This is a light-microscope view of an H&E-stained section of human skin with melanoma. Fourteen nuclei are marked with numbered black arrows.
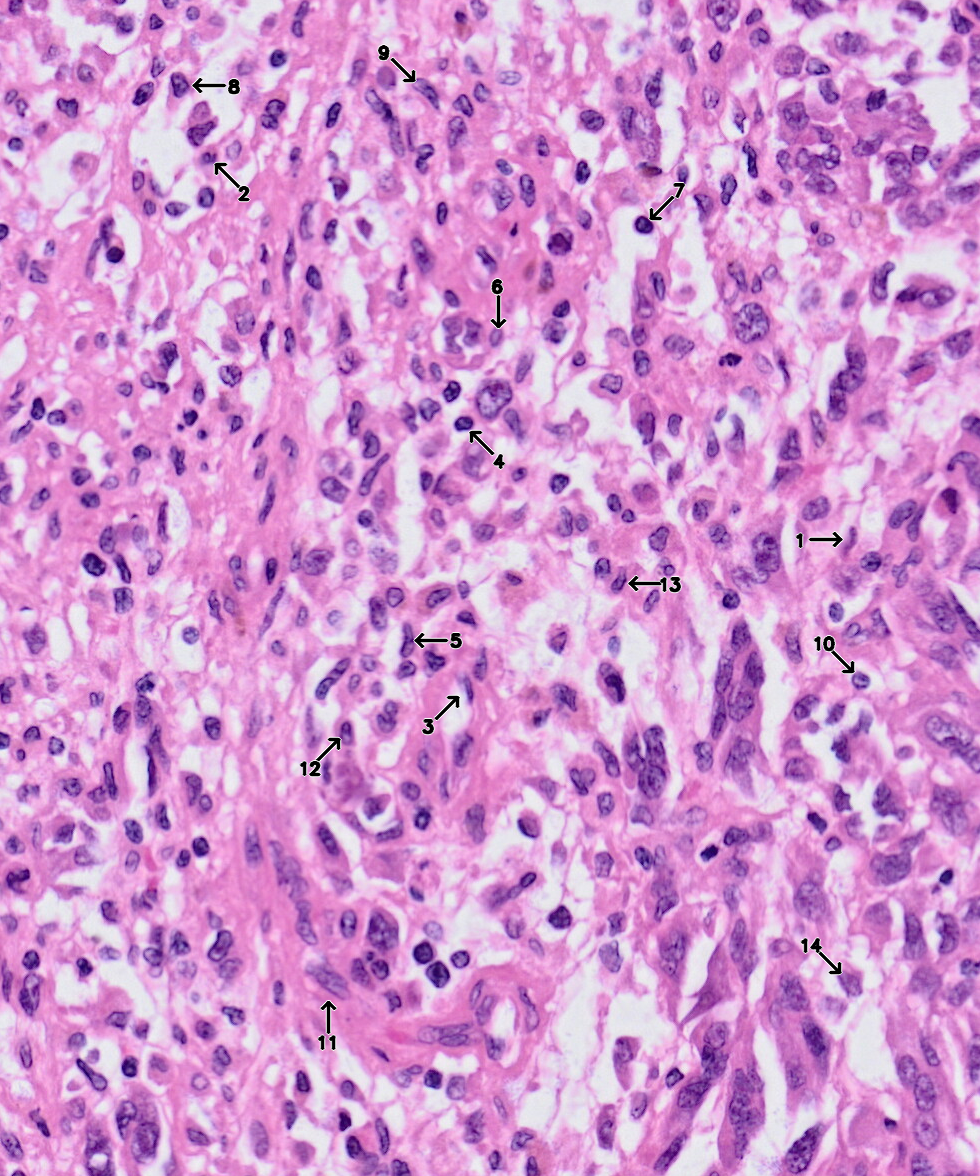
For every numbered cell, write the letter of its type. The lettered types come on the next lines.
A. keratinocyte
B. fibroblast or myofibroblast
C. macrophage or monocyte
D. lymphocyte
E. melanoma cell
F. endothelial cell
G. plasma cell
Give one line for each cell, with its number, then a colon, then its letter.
1: B
2: C
3: F
4: D
5: C
6: C
7: D
8: C
9: C
10: D
11: F
12: C
13: C
14: E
